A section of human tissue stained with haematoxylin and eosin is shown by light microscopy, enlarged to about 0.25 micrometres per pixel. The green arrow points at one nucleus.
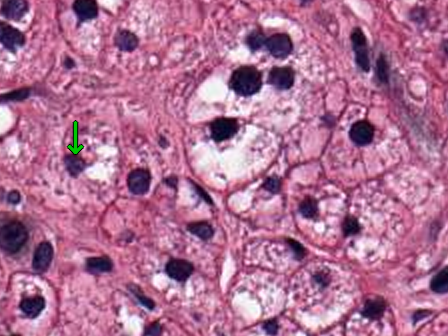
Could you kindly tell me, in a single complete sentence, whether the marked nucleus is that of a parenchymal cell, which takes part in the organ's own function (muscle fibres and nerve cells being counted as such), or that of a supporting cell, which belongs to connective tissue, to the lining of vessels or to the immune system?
In the tissue shown, the marked nucleus is that of an adrenal cortical cell, a parenchymal cell.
